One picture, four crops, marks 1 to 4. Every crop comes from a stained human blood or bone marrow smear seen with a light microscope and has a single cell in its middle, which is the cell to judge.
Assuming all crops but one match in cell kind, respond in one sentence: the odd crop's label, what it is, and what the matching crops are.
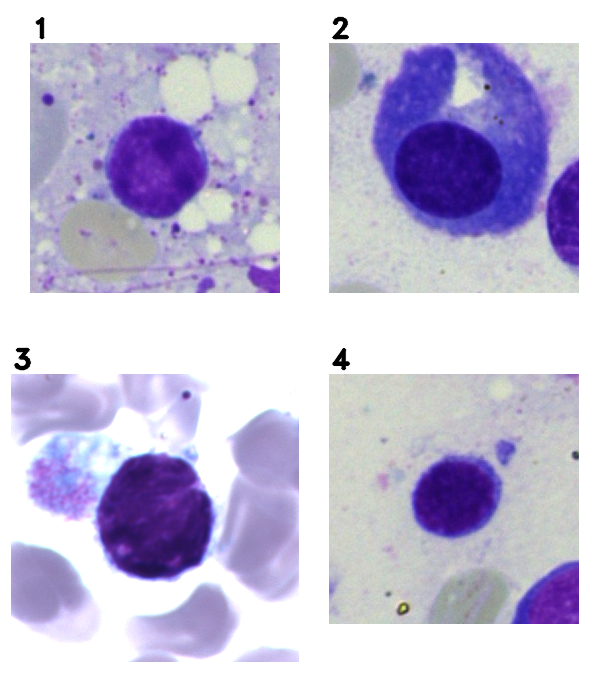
Crop 2 is the exception here: it is a plasma cell, and the others are lymphocytes.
